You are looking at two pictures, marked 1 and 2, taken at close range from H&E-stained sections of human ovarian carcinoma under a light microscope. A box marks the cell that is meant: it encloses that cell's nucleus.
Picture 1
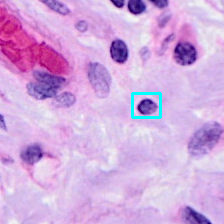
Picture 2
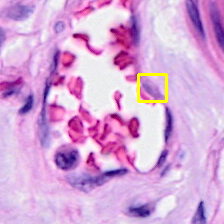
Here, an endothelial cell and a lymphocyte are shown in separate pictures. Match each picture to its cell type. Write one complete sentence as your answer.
In picture 1 the cell is a lymphocyte; in picture 2, an endothelial cell.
